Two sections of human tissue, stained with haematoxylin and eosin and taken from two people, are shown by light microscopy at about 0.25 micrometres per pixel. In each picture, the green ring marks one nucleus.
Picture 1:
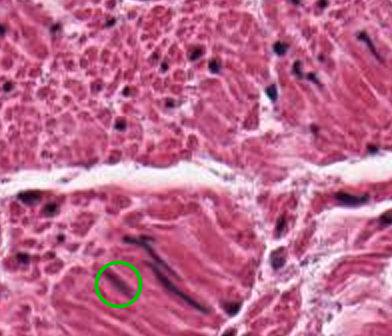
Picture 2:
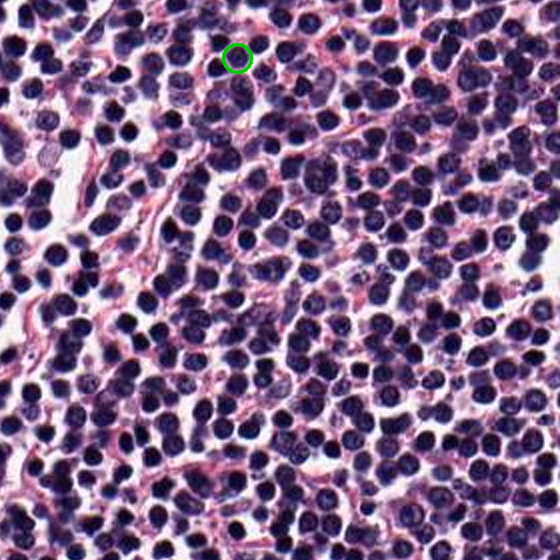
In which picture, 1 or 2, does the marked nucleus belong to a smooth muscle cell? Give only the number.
1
